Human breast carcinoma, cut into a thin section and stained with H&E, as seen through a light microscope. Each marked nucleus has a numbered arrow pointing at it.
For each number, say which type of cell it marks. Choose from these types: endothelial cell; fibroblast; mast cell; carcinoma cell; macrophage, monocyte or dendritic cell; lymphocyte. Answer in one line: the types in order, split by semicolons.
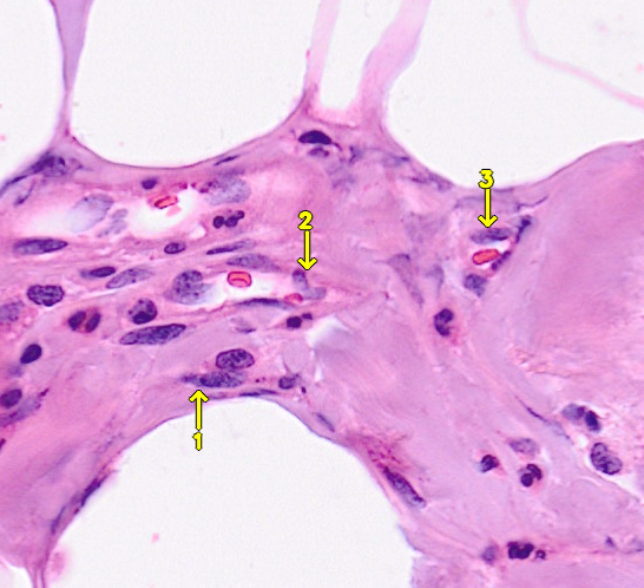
fibroblast; endothelial cell; endothelial cell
